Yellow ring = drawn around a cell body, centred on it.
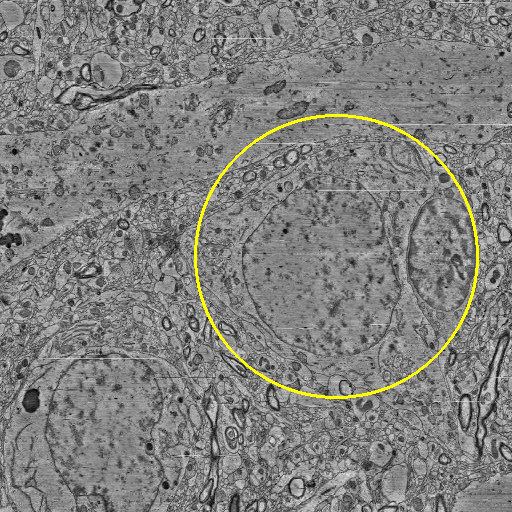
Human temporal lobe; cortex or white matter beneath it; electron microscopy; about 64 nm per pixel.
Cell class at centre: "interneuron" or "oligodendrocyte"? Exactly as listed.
interneuron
